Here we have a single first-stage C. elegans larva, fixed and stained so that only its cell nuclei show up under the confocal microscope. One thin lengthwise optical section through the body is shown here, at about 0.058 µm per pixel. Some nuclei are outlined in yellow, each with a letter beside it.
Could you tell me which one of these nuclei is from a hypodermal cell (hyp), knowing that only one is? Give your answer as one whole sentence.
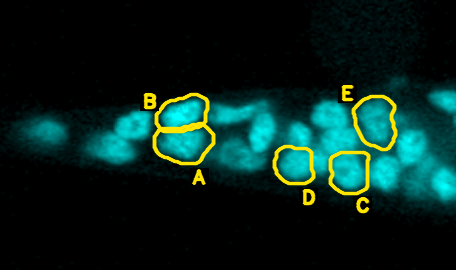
Of the marked nuclei, B is the one in a hypodermal cell (hyp).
